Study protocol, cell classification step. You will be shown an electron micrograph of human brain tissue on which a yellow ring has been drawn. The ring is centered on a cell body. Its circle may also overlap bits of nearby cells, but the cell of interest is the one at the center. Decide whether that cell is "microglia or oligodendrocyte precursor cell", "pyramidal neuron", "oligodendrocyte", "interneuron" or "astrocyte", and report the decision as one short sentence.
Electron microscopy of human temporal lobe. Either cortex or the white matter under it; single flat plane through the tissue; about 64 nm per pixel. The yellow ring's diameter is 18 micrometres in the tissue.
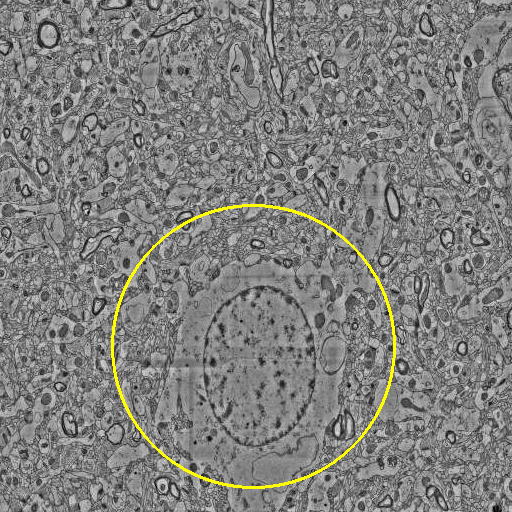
The marked cell is an astrocyte.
